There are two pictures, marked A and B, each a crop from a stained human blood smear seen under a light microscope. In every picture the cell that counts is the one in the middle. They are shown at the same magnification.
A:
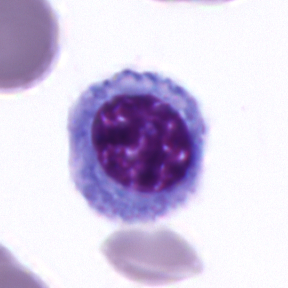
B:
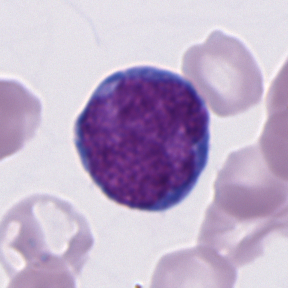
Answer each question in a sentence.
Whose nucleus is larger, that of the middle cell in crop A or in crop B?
It is the nucleus in crop B, about 2 times as large in area as the one in crop A.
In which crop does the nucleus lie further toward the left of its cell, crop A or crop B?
Seen within its cell, the nucleus in crop B lies further toward the left.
